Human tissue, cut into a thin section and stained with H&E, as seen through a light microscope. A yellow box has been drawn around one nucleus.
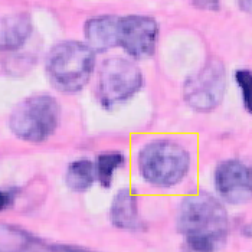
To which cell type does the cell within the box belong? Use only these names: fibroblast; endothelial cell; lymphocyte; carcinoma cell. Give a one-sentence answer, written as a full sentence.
To be brief about it, the cell within the box is a carcinoma cell.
